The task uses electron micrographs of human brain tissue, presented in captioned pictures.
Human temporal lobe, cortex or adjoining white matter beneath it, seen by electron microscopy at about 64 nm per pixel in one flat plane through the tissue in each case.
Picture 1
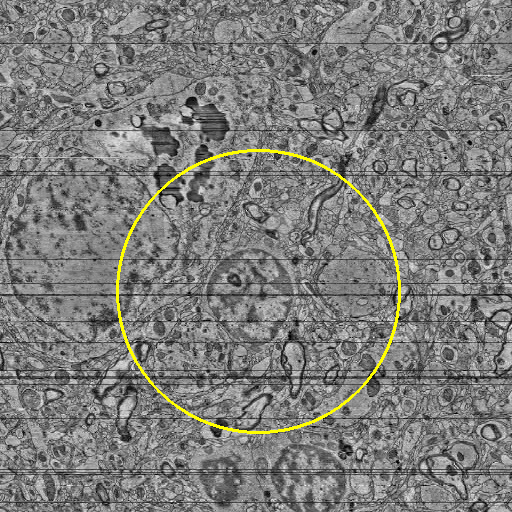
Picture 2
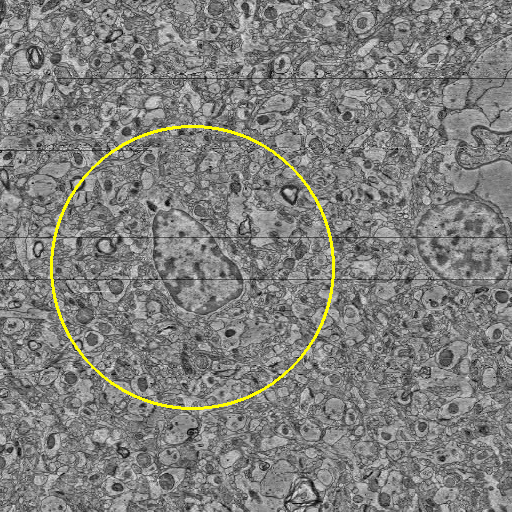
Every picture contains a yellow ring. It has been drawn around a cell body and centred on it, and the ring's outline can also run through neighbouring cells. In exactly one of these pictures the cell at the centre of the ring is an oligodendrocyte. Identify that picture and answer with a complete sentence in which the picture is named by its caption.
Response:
The ring in Picture 1 is centred on that kind of cell.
